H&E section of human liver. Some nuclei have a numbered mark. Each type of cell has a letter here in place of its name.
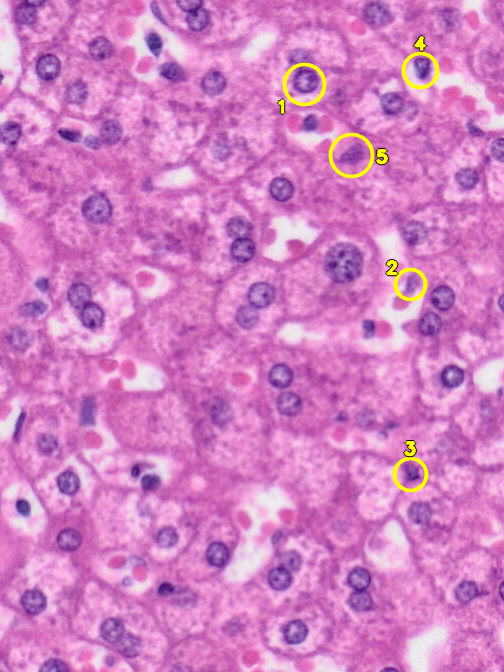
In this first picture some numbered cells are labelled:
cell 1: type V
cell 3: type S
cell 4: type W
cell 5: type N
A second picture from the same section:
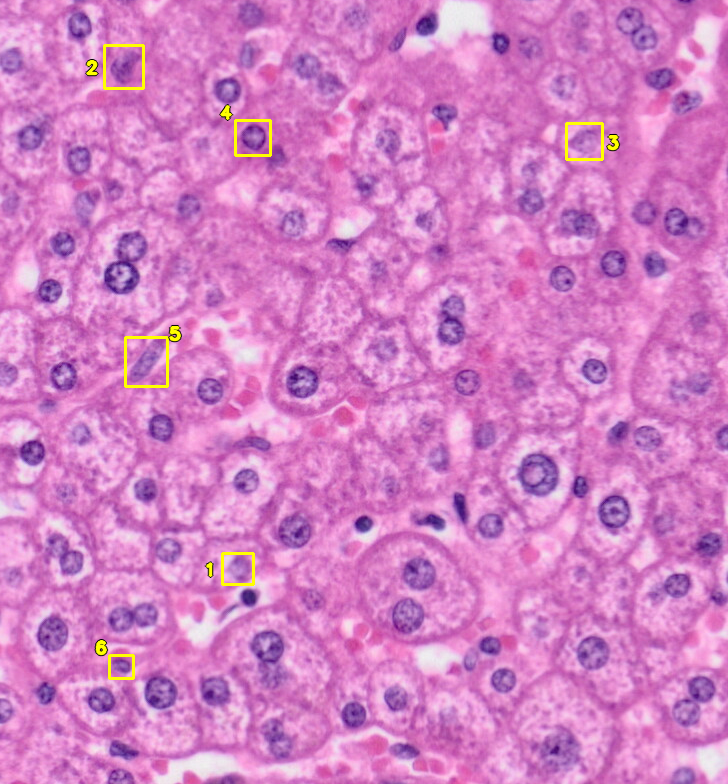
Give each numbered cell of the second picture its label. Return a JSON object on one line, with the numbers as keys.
{"1": "type V", "2": "type N", "3": "type V", "4": "type V", "5": "type W", "6": "type W"}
